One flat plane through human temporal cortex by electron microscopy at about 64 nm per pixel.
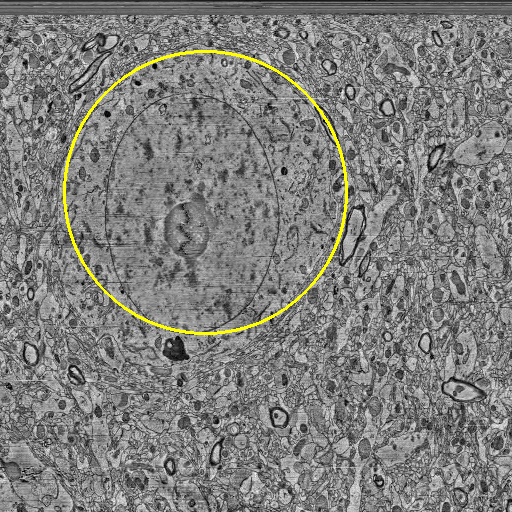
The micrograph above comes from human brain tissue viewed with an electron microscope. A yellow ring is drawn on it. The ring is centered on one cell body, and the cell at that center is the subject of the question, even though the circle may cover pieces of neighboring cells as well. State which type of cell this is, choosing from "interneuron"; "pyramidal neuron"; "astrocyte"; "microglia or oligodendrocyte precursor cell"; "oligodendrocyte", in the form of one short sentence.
The cell the ring is centered on is a pyramidal neuron.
